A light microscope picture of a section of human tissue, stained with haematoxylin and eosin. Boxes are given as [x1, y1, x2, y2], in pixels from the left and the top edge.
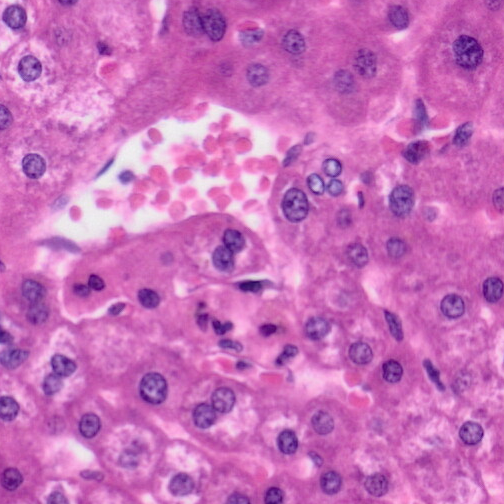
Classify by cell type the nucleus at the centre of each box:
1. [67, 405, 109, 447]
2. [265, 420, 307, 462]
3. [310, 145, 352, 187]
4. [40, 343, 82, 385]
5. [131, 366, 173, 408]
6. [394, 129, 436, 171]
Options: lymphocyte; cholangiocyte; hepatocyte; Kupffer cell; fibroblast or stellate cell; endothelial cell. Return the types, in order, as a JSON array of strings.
["hepatocyte", "hepatocyte", "cholangiocyte", "hepatocyte", "hepatocyte", "fibroblast or stellate cell"]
